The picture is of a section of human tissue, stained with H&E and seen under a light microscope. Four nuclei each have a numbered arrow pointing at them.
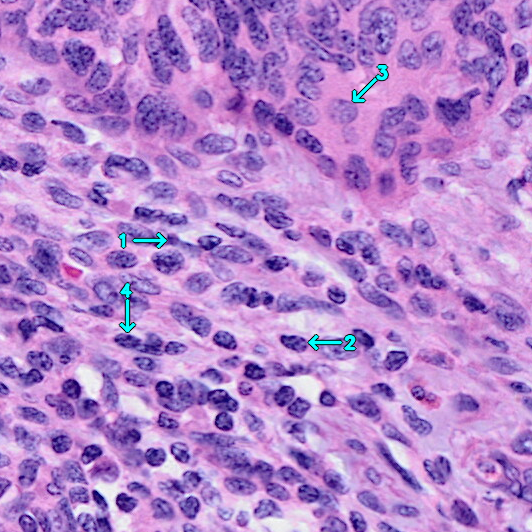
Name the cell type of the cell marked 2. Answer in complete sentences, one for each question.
Cell 2 in the field is a lymphocyte.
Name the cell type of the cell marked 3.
At number 3, the marked cell is a squamous carcinoma cell.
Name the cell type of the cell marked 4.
Cell 4 in the field of view is a lymphocyte.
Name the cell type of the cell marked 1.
In this section, the cell tagged 1 is a lymphocyte.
